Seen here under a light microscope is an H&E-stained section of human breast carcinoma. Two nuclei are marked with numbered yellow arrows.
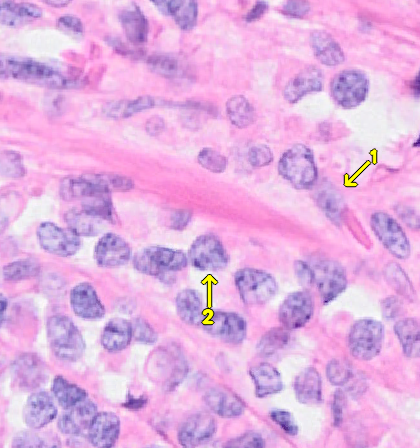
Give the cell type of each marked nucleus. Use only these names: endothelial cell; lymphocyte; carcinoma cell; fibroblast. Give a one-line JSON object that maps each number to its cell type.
{"1": "endothelial cell", "2": "carcinoma cell"}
